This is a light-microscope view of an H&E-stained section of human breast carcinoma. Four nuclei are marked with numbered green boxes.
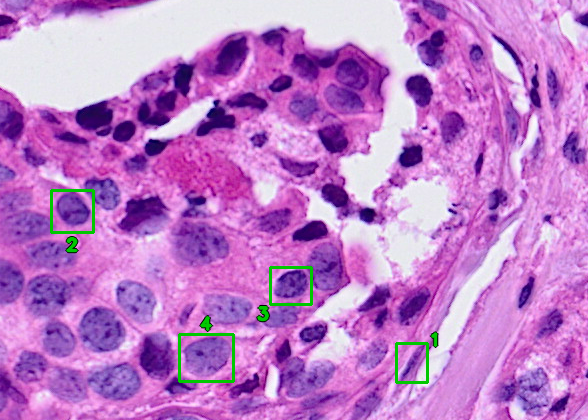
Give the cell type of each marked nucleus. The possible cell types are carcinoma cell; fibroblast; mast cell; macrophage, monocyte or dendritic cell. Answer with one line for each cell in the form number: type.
1: fibroblast
2: carcinoma cell
3: carcinoma cell
4: carcinoma cell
